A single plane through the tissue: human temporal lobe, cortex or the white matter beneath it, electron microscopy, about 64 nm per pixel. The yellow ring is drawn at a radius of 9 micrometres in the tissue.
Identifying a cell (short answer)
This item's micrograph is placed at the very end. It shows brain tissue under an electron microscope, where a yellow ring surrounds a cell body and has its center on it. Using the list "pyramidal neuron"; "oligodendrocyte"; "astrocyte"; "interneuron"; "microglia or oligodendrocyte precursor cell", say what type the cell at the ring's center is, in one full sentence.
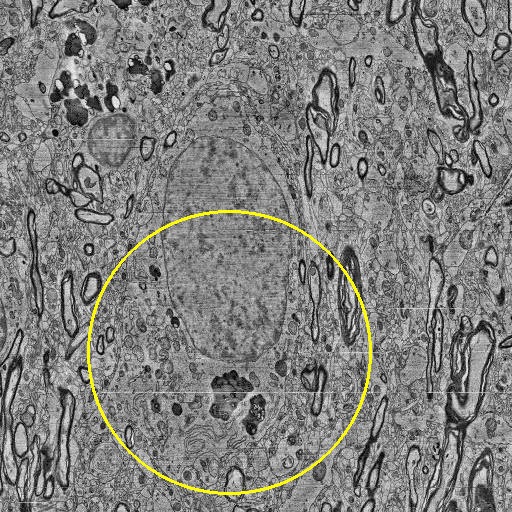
This picture shows an interneuron at the center of the yellow ring drawn on it.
